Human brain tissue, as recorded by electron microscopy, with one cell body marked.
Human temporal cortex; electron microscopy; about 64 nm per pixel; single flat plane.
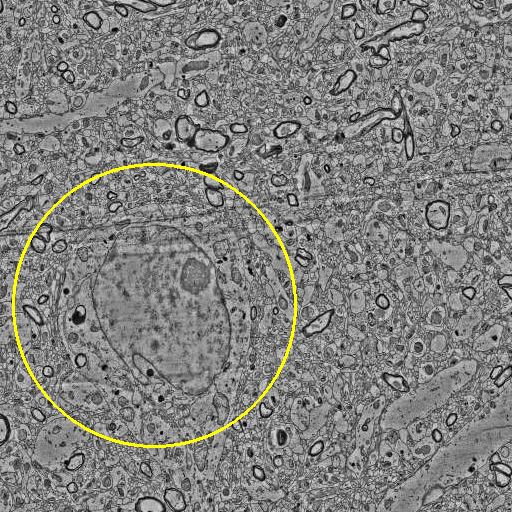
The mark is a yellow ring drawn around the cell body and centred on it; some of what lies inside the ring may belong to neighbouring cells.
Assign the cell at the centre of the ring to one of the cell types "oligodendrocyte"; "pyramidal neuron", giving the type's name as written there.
pyramidal neuron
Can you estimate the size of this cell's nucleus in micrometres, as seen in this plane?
Roughly 12 by 8 micrometres is the size of the nucleus in this plane.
